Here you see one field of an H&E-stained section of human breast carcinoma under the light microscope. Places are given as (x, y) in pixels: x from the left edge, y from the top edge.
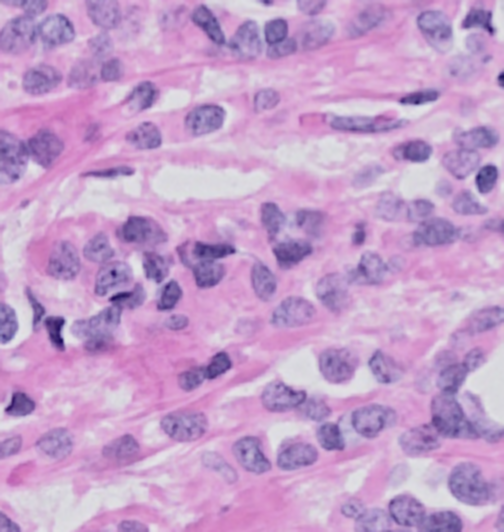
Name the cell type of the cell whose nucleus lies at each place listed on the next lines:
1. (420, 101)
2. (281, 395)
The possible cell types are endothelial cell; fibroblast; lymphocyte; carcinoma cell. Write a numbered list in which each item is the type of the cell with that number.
1. endothelial cell
2. carcinoma cell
